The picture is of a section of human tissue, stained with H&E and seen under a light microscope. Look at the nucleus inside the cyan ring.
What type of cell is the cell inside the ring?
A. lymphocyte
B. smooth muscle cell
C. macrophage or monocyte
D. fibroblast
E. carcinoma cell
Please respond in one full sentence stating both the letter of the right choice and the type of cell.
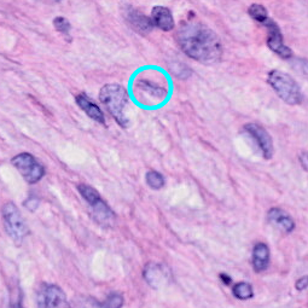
Hey, it is option D: the cell inside the ring is a fibroblast.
